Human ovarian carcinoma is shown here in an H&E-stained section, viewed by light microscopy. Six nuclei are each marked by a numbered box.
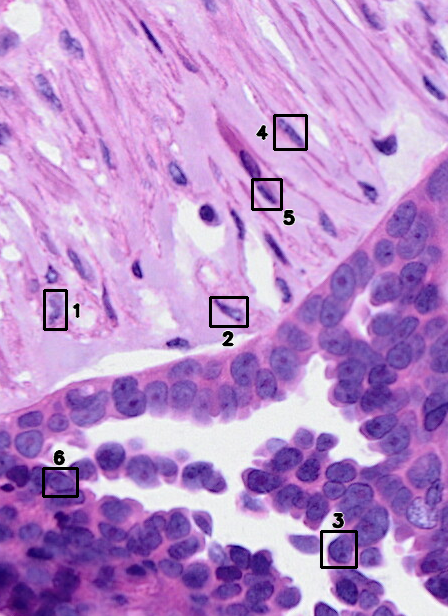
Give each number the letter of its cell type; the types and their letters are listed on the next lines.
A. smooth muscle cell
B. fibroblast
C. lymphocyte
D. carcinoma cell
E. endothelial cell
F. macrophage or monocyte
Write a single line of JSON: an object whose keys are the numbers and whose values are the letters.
{"1": "B", "2": "B", "3": "D", "4": "B", "5": "B", "6": "D"}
